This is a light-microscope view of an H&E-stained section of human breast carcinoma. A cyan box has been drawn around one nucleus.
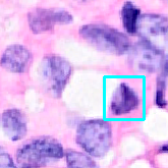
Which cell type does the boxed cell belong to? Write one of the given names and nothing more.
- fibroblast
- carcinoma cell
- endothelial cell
carcinoma cell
